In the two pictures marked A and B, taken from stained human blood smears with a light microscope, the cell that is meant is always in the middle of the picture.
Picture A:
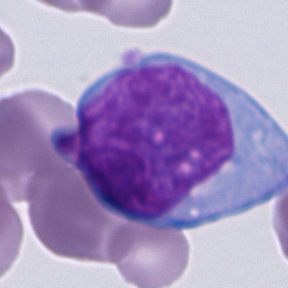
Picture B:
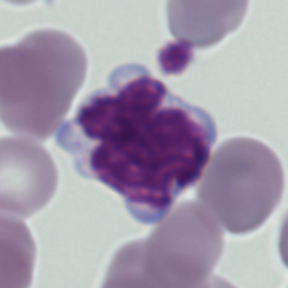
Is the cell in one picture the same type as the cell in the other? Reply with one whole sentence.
No, picture A shows a myeloblast and picture B shows a large granular lymphocyte.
